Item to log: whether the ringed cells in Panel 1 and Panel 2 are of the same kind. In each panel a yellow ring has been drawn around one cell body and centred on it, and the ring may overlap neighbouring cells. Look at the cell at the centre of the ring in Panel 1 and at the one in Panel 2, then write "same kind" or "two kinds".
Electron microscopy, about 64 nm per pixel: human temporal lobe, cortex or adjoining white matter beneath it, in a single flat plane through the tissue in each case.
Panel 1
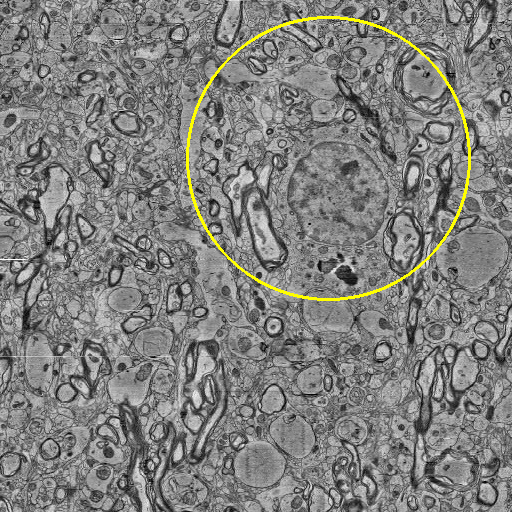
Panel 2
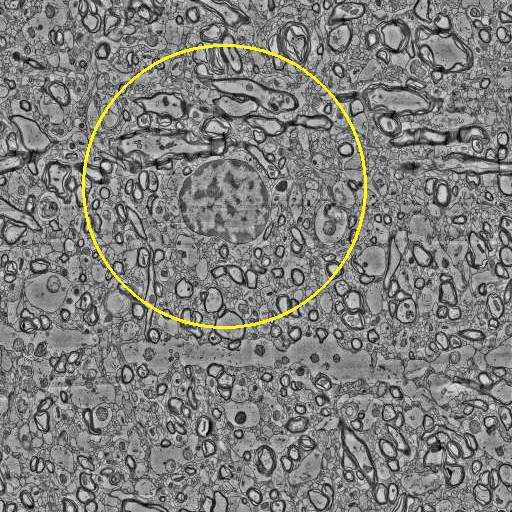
two kinds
